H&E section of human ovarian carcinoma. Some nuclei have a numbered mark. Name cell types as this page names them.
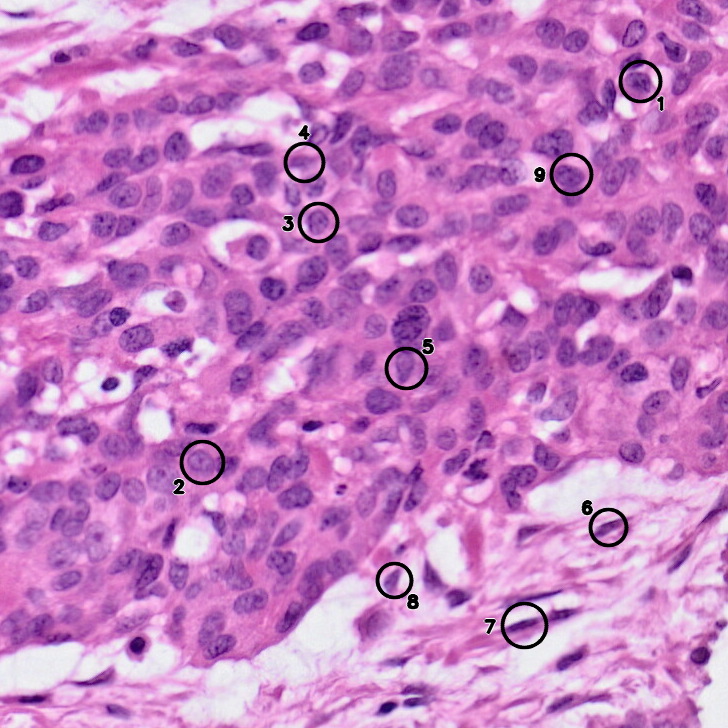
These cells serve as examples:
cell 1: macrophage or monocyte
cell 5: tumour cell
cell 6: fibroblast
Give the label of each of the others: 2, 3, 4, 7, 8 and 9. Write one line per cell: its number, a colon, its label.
2: tumour cell
3: macrophage or monocyte
4: tumour cell
7: fibroblast
8: fibroblast
9: tumour cell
